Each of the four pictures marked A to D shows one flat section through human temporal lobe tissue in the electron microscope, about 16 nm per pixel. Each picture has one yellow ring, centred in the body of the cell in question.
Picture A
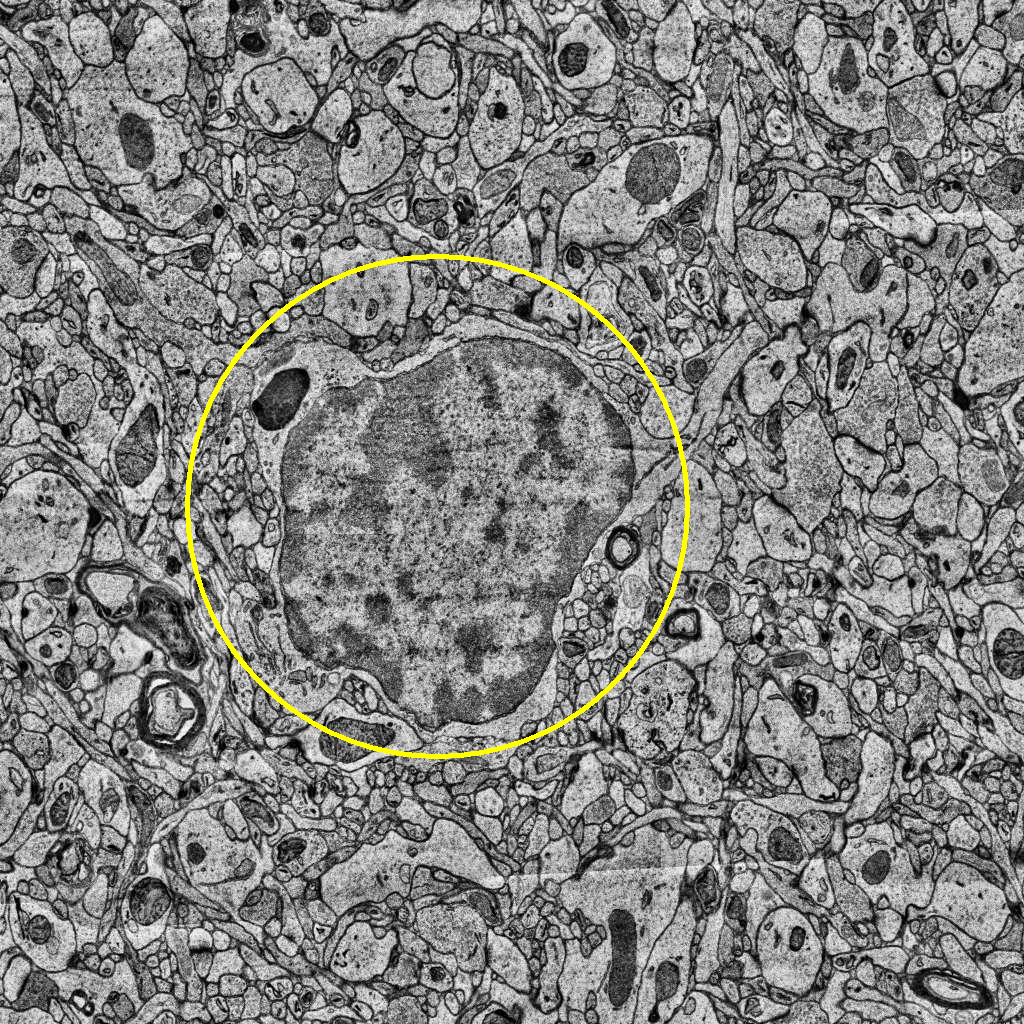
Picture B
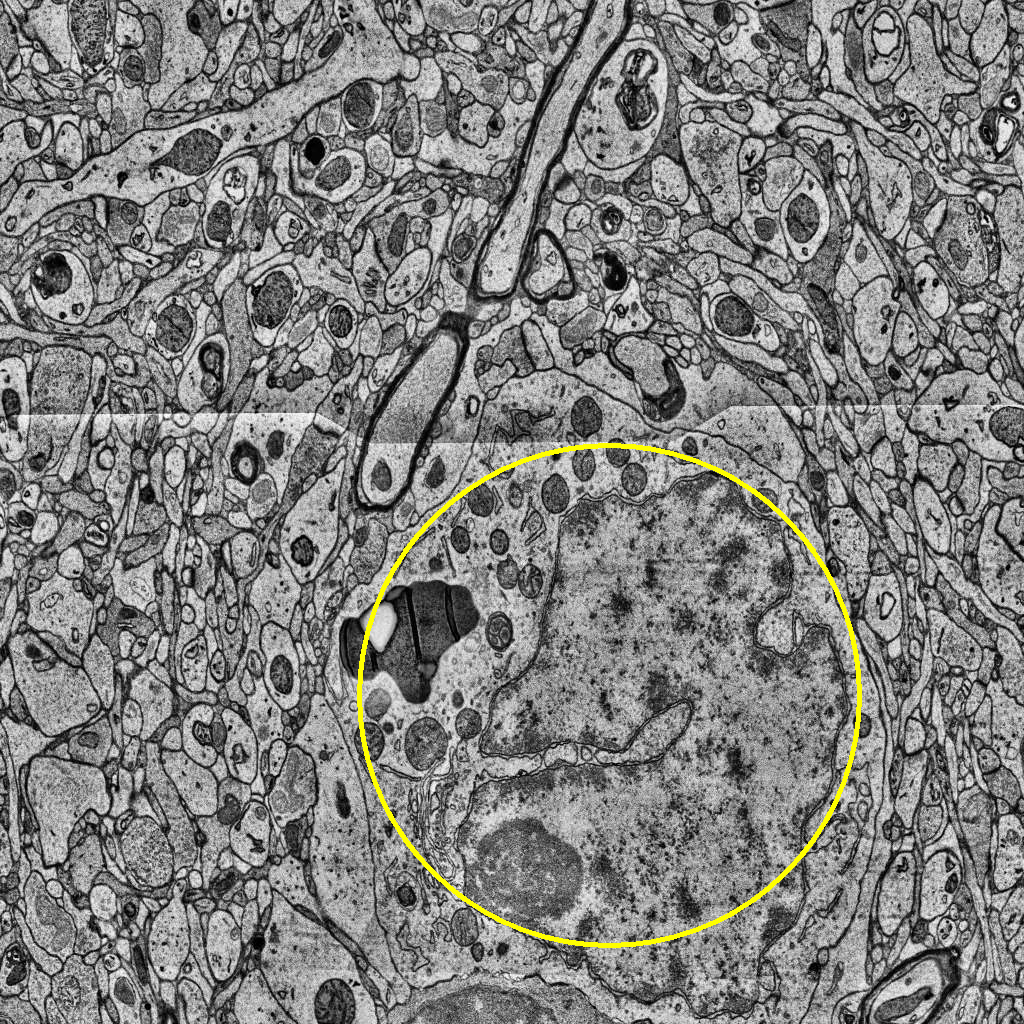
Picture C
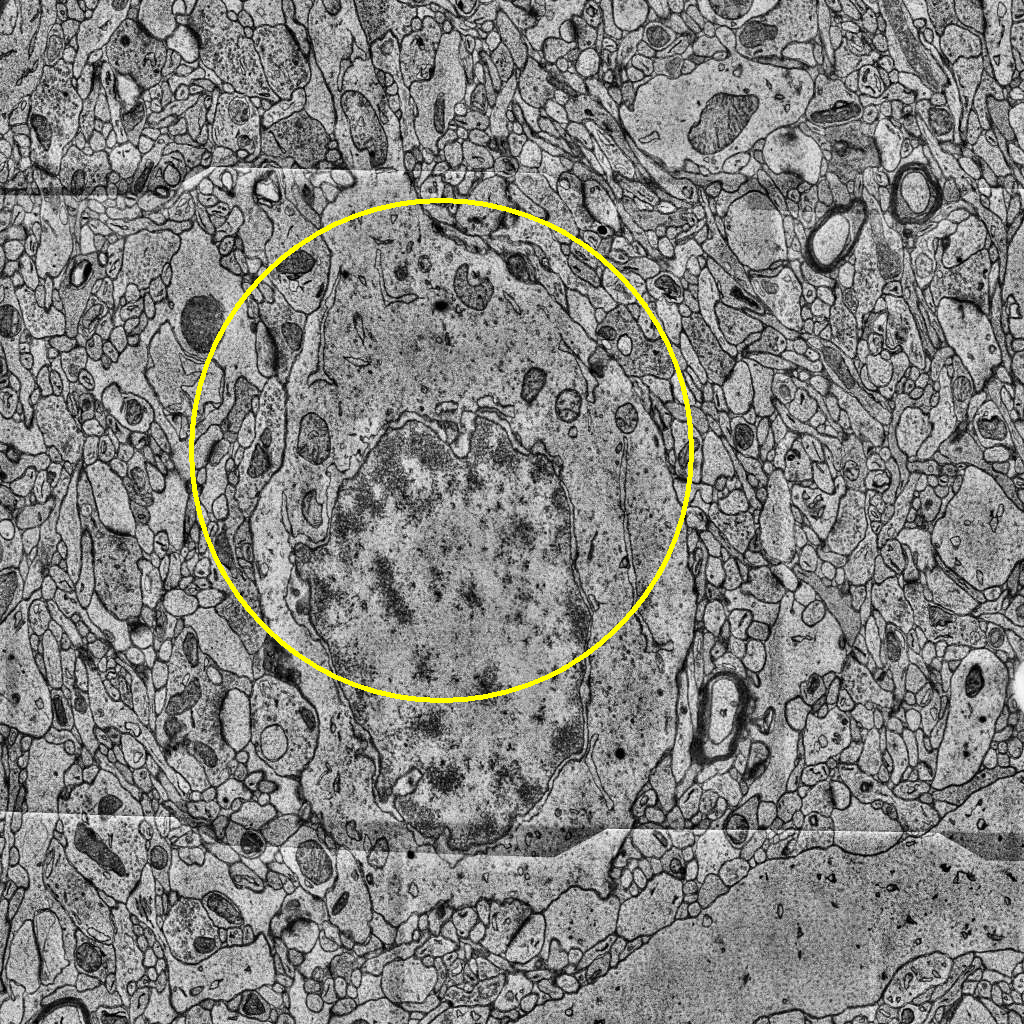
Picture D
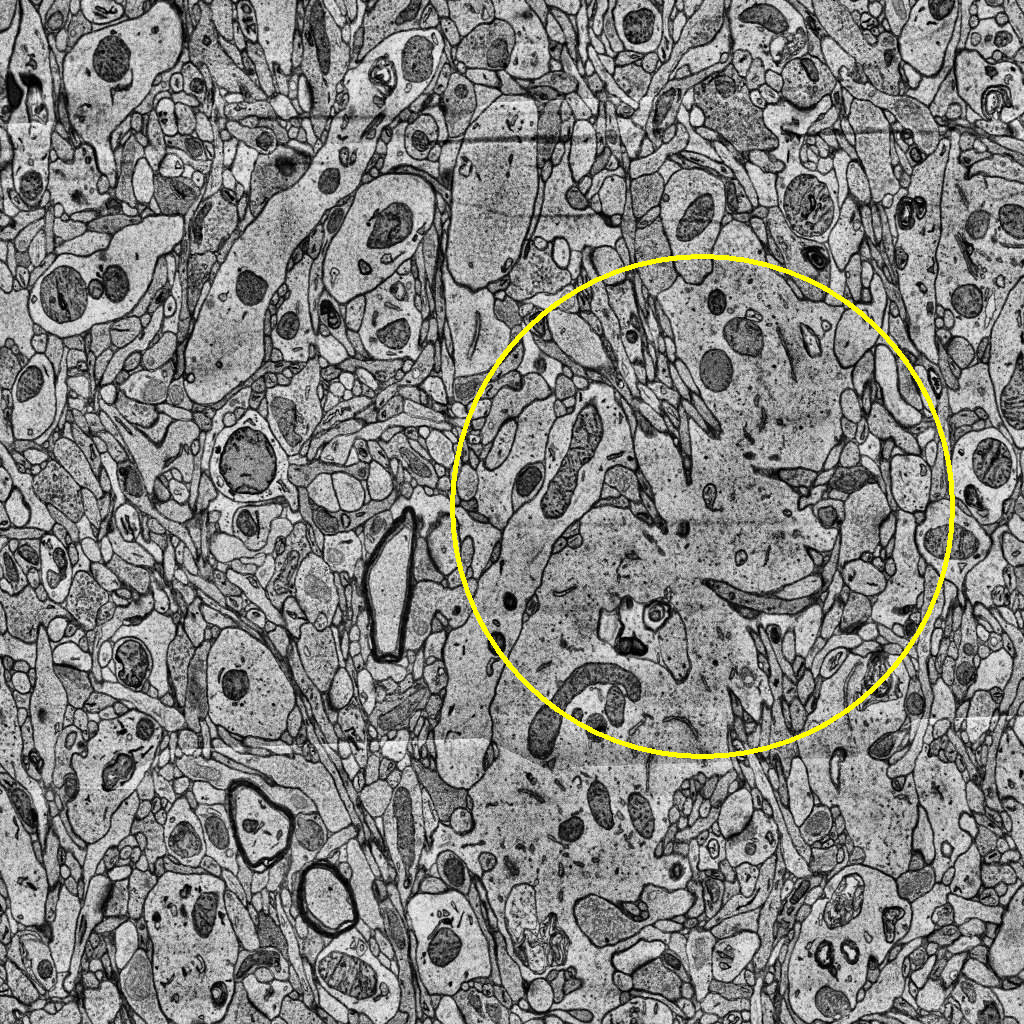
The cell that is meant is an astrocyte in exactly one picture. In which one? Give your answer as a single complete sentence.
The astrocyte is the one in picture D.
